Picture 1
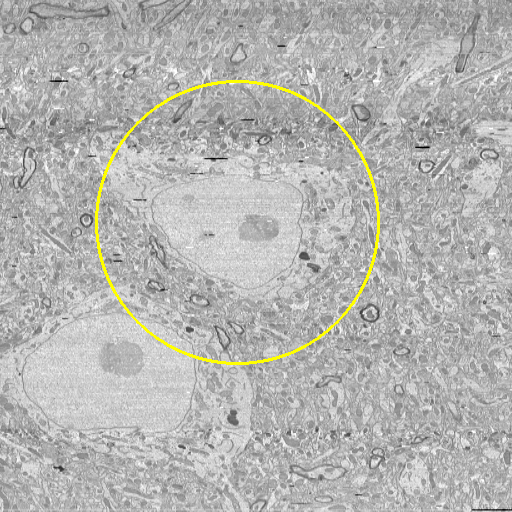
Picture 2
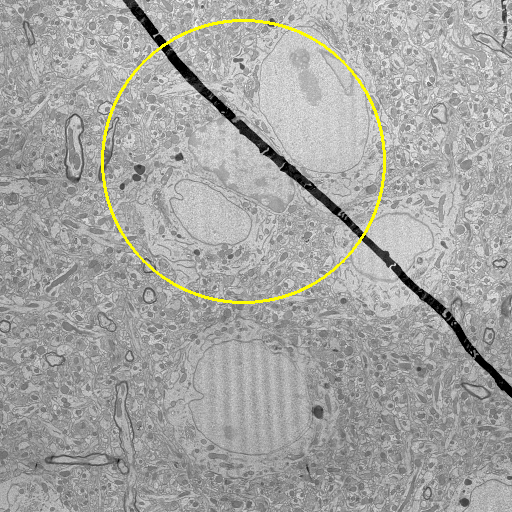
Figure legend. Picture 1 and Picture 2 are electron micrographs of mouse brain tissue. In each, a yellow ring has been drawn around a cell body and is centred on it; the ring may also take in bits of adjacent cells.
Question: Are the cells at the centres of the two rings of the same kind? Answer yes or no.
no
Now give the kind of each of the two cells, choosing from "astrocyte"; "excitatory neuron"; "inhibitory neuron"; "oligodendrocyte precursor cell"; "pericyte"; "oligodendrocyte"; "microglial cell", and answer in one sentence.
The cell in the first picture is an excitatory neuron, and the cell in the second is an oligodendrocyte.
